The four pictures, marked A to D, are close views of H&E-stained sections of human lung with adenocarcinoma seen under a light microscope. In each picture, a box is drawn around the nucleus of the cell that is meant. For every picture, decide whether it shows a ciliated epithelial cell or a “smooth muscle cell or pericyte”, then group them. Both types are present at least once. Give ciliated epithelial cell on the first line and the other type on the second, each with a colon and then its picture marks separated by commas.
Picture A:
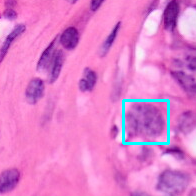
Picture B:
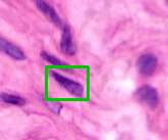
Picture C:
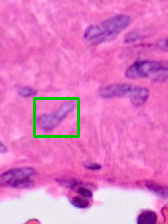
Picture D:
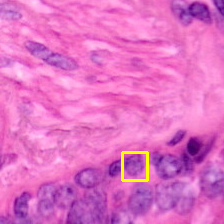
ciliated epithelial cell: A, D
smooth muscle cell or pericyte: B, C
